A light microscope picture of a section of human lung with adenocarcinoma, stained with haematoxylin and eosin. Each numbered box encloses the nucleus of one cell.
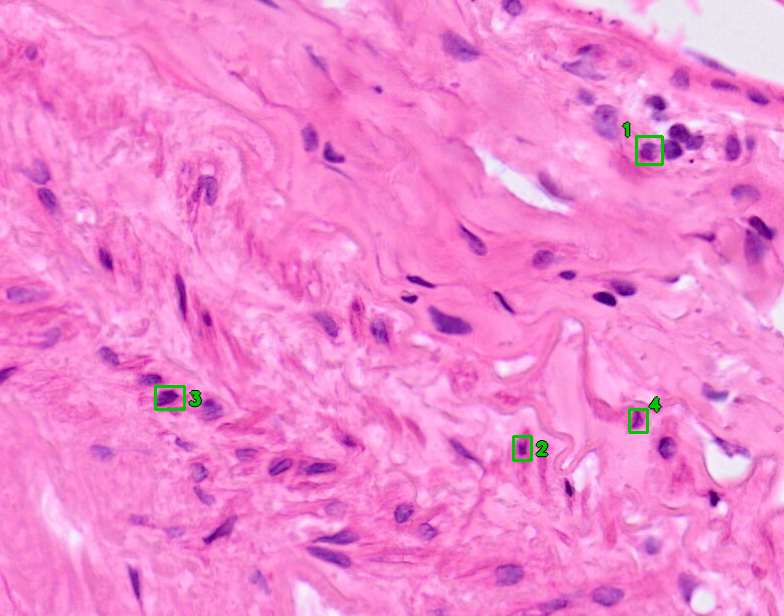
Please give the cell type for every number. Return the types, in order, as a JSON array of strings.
["lymphocyte", "smooth muscle cell or pericyte", "smooth muscle cell or pericyte", "smooth muscle cell or pericyte"]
